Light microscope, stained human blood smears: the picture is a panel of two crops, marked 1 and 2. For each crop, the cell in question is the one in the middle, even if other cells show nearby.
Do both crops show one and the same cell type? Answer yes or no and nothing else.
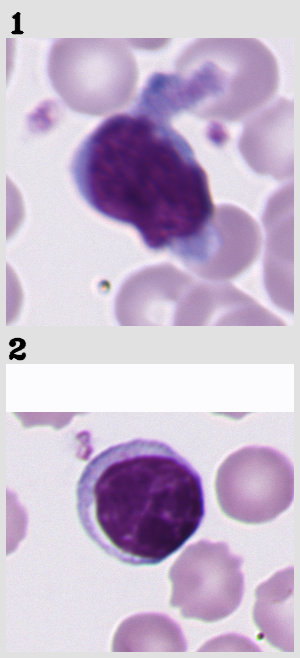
yes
